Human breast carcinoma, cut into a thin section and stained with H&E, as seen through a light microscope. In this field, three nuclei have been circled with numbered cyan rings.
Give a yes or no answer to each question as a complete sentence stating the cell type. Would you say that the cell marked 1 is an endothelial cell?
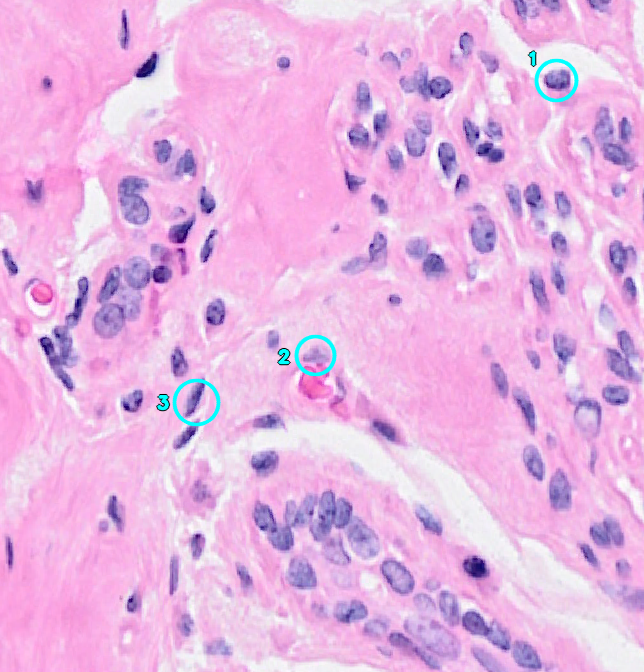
No, the cell numbered 1 is a lymphocyte rather than an endothelial cell.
